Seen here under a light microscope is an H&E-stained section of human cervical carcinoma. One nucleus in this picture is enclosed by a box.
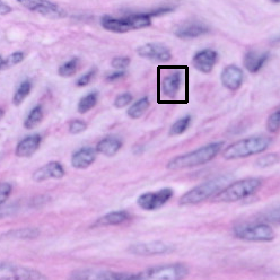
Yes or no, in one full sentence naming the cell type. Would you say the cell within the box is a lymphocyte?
No, the cell within the box is not a lymphocyte, but is instead a smooth muscle cell.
